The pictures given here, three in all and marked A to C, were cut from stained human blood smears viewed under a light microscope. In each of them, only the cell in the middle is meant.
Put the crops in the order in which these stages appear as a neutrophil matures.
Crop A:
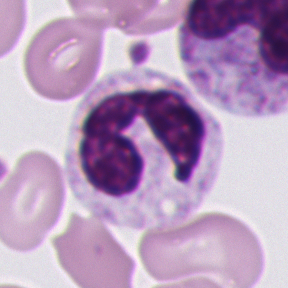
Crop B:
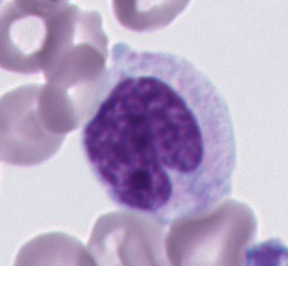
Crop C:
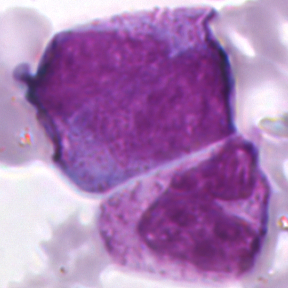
C, B, A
